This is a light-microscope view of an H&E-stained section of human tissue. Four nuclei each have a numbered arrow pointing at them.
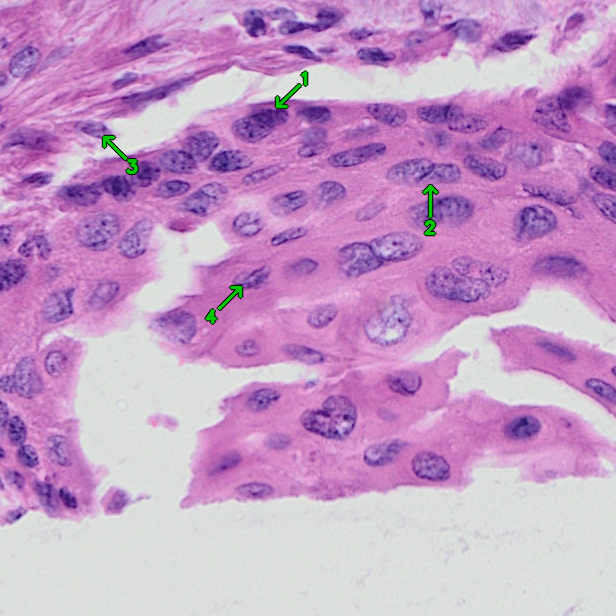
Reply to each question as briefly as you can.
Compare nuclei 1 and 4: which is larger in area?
1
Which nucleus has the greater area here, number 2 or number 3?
2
